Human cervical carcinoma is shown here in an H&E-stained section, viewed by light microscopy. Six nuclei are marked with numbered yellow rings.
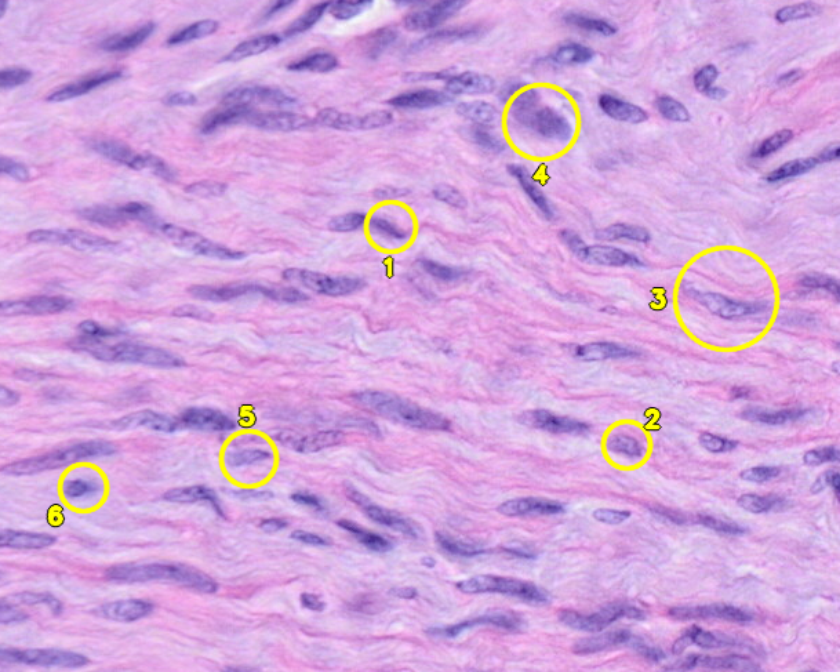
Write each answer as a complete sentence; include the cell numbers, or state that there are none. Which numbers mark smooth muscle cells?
Cells 1, 2, 3 and 5 are of one type, namely smooth muscle cells.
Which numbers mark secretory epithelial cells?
Taken together, the numbered cells include no secretory epithelial cells.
